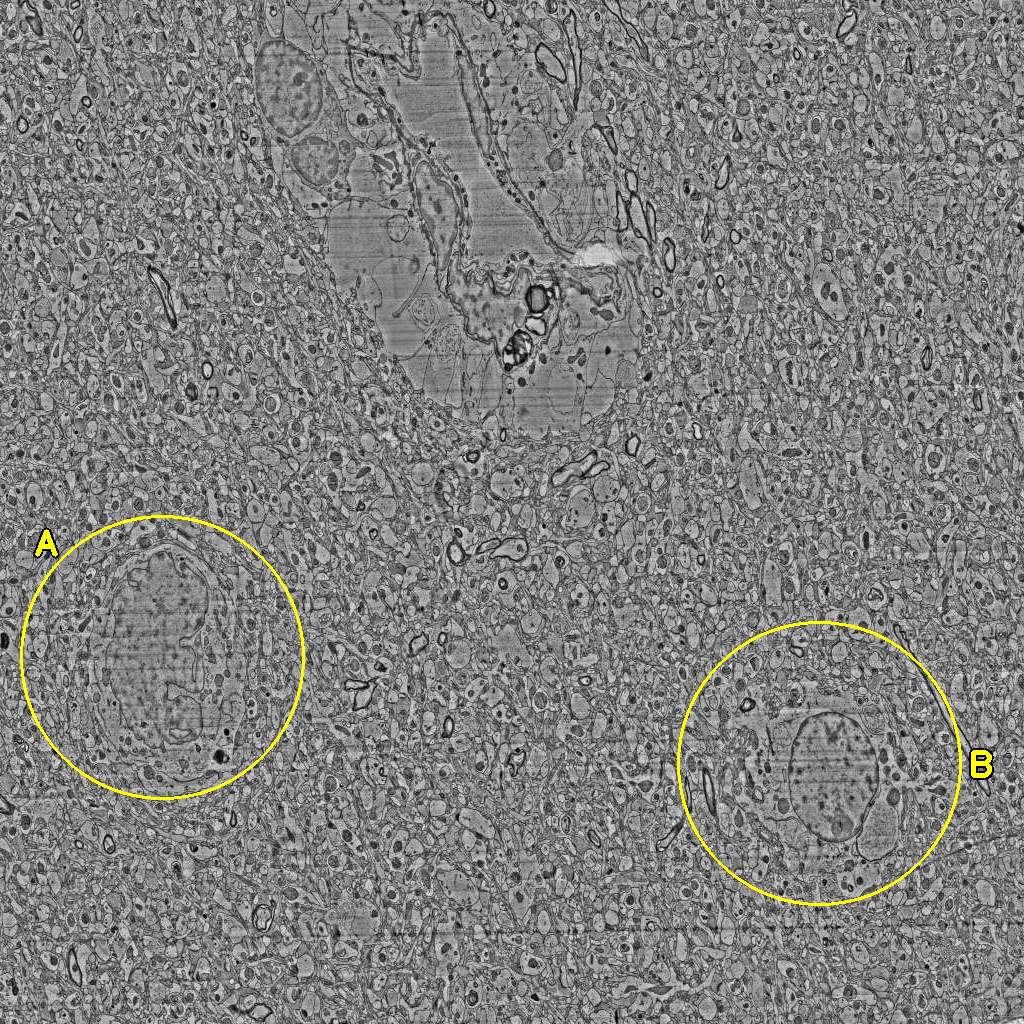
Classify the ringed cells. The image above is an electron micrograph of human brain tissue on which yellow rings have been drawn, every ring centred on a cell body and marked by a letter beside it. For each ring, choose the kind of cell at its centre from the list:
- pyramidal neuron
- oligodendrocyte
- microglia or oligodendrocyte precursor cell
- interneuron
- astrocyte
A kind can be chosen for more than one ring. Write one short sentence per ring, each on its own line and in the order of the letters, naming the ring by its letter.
Ring A is placed around an interneuron.
Ring B is placed around an astrocyte.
